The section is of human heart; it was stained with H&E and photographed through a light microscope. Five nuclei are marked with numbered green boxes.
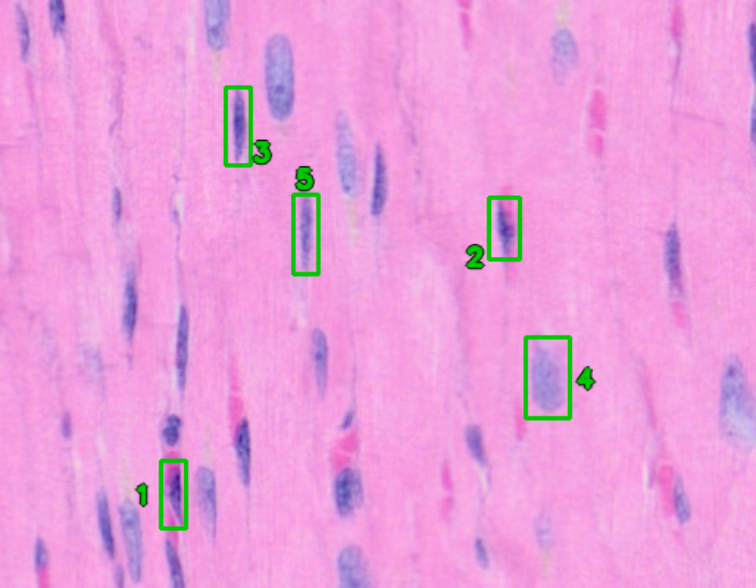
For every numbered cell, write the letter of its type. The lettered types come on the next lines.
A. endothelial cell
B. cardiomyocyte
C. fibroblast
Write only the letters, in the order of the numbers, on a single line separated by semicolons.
A; A; A; B; C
